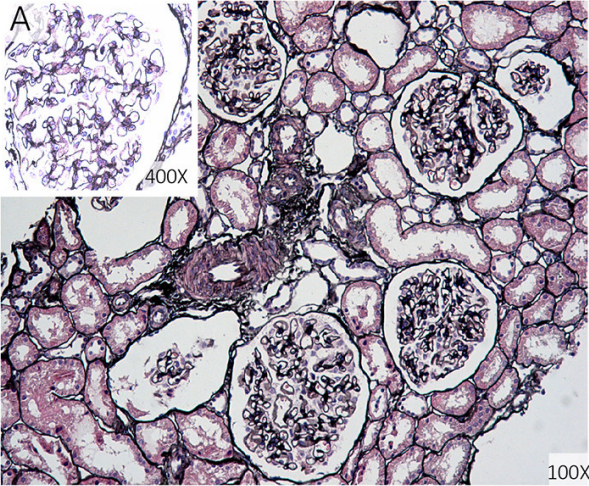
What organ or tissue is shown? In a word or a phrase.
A: glomerulus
